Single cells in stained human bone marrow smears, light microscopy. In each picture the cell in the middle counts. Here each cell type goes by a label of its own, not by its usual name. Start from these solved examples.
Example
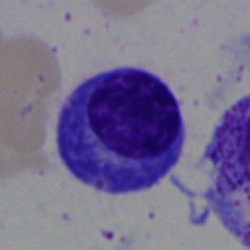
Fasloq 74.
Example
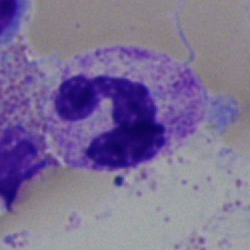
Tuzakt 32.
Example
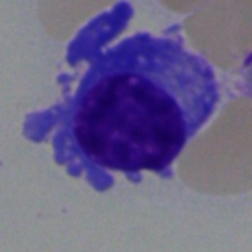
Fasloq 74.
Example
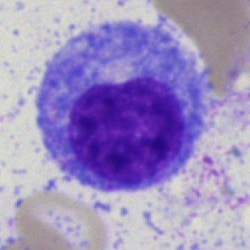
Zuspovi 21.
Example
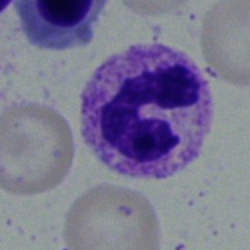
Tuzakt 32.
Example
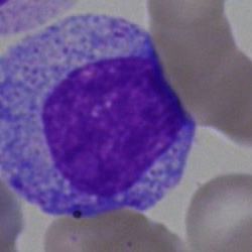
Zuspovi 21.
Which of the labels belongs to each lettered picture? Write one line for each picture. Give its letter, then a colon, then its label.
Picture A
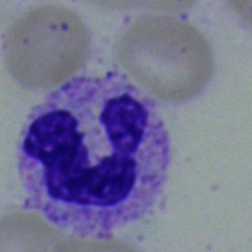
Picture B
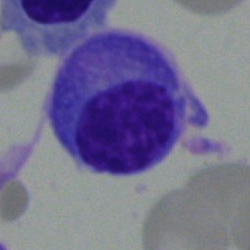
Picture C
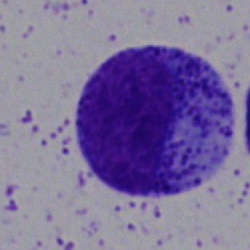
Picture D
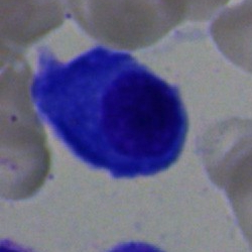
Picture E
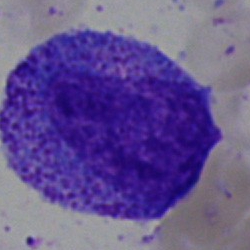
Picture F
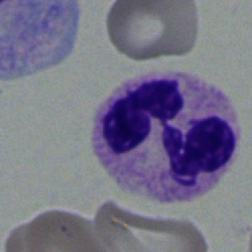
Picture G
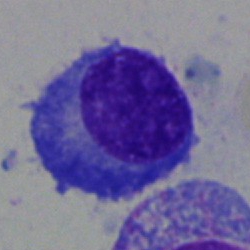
A: Tuzakt 32.
B: Fasloq 74.
C: Zuspovi 21.
D: Fasloq 74.
E: Zuspovi 21.
F: Tuzakt 32.
G: Fasloq 74.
